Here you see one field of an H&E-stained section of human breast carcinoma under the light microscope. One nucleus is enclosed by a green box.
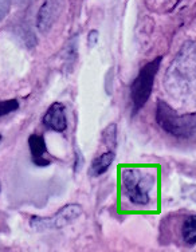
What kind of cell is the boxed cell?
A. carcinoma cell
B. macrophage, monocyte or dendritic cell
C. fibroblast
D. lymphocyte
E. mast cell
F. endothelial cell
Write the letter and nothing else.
B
